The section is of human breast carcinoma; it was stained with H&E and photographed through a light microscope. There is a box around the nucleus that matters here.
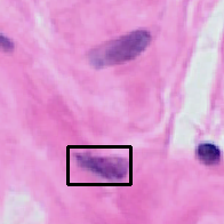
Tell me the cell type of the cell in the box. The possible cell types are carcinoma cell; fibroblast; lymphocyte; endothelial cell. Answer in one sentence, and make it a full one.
As far as its identity is concerned, the cell in the box is a fibroblast.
